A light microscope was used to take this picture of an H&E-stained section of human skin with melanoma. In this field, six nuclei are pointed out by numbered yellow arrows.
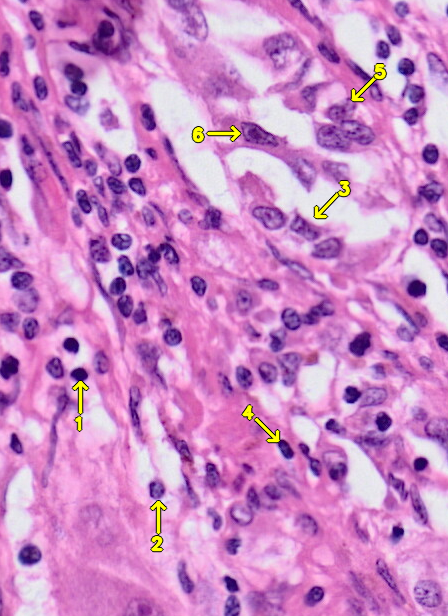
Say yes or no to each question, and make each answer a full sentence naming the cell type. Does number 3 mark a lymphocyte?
No, cell 3 has been misnamed; it is a melanoma cell, not a lymphocyte.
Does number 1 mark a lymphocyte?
Yes, the cell whose nucleus carries number 1 is a lymphocyte.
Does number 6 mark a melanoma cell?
Yes, the numbered nucleus 6 is that of a melanoma cell.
